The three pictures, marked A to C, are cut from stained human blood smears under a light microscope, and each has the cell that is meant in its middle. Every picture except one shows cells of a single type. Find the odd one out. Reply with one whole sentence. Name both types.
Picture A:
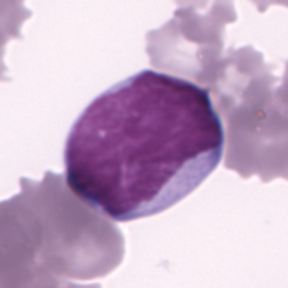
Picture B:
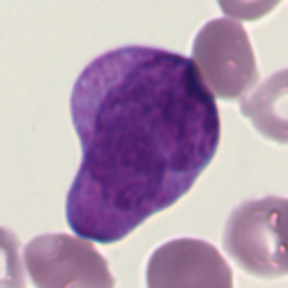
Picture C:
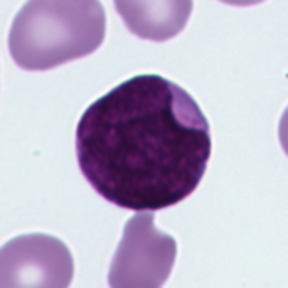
The different one is picture B; it shows an atypical promyelocyte, whereas all the others show myeloblasts.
